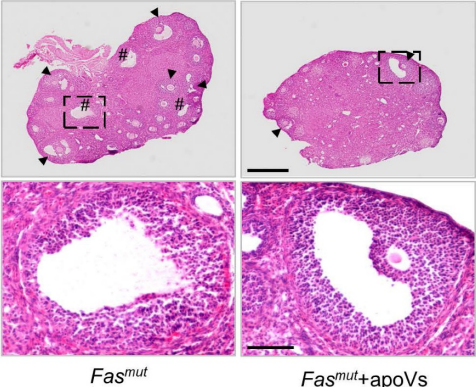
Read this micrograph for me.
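Sections of ovary stained with hematoxylin and eosin show numerous follicles scattered through a pink and purple cellular stroma. Many follicles contain a clear, fluid-filled cavity, and some are enlarged with a wide, empty-looking cavity and a relatively thin cellular wall. At higher magnification, an antral follicle shows an irregular clear antrum surrounded by several layers of densely packed granulosa cells with dark purple nuclei. Outside the granulosa layers lies a thinner rim of flattened cells merging into the surrounding stroma.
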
